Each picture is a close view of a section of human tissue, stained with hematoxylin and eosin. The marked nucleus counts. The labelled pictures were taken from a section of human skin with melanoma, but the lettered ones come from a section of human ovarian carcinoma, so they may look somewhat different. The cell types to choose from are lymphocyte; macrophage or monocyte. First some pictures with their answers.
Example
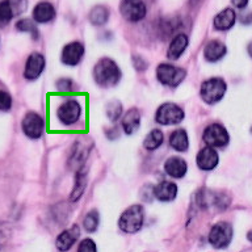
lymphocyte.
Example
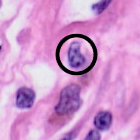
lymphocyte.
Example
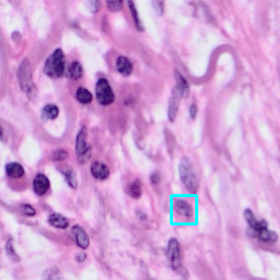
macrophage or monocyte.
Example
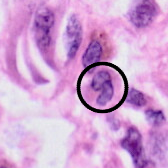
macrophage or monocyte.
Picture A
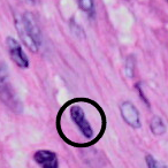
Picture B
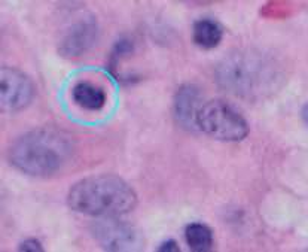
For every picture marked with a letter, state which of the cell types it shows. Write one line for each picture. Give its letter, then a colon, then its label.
A: lymphocyte.
B: lymphocyte.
